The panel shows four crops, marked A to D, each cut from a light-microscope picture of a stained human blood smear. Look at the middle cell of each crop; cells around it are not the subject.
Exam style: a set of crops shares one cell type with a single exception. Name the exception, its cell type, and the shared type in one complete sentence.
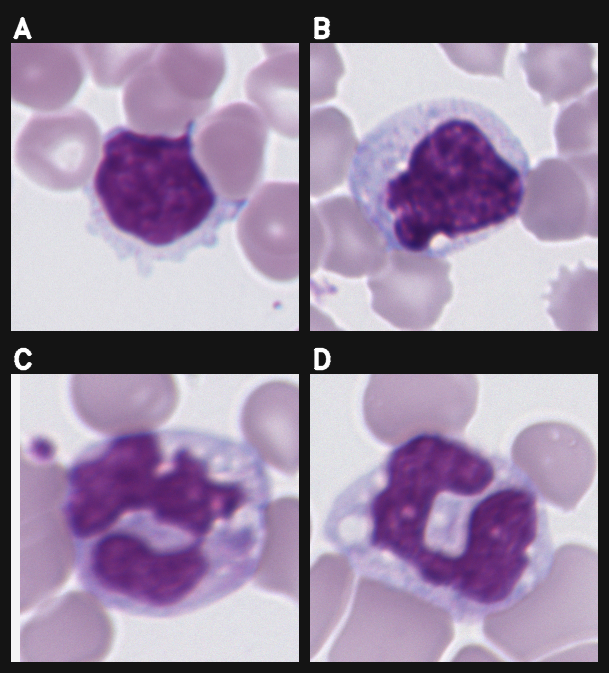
Crop A breaks the pattern with a large granular lymphocyte; all the others show monocytes.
